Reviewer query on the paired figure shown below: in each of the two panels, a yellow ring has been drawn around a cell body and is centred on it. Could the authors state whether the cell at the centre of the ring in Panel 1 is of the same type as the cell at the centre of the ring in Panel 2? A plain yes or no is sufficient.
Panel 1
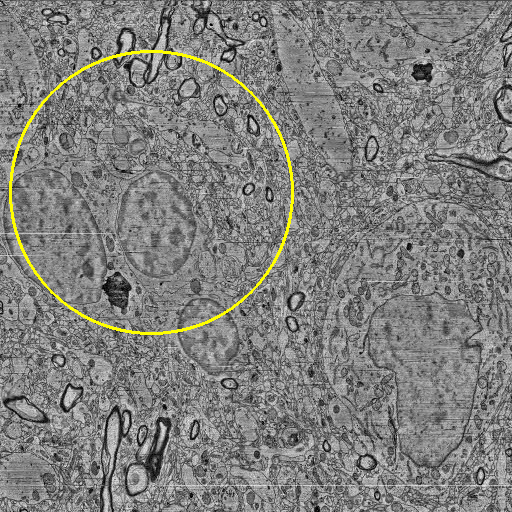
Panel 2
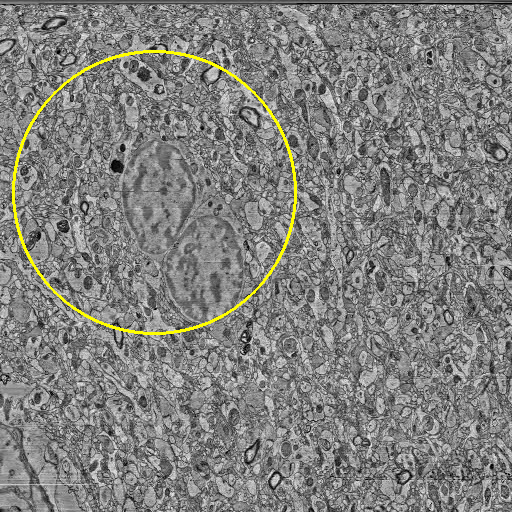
yes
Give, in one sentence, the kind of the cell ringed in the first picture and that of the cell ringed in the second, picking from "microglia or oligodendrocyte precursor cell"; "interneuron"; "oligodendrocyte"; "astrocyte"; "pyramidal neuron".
Each cell, in the first picture and the second, is an oligodendrocyte.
